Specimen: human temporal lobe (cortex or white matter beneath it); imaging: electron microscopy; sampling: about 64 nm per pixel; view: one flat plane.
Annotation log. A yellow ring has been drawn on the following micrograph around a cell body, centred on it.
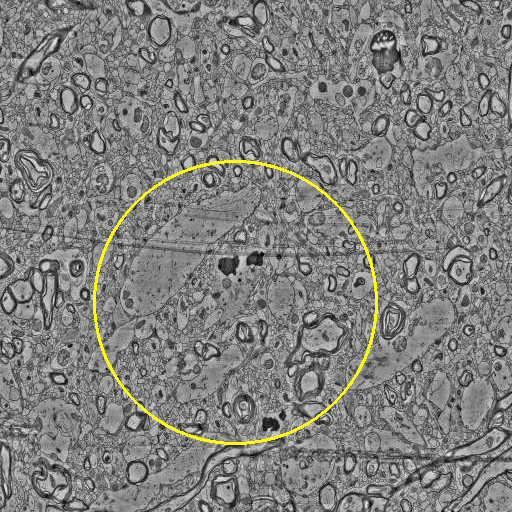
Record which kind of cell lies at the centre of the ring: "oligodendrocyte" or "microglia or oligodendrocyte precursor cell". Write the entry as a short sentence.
The cell the ring is centred on is an oligodendrocyte.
